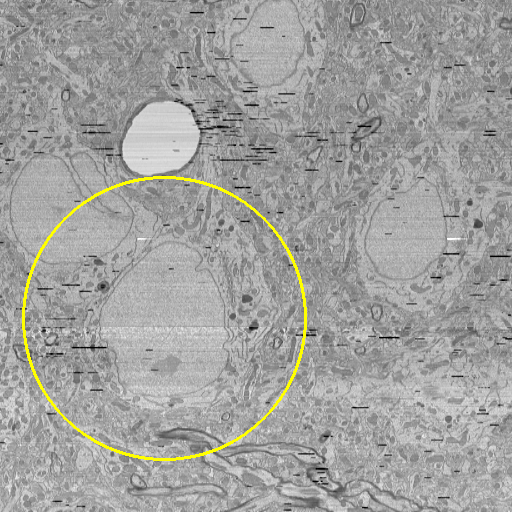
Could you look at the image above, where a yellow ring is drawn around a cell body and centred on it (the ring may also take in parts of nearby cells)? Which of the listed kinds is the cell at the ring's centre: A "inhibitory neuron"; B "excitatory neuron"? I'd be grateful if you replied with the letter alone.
A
